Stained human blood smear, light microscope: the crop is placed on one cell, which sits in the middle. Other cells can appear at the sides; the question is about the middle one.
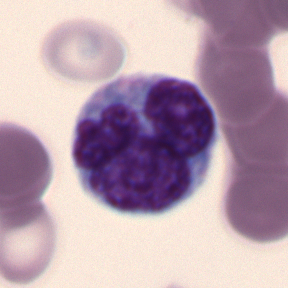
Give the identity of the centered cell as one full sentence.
What sits at the centre of this crop is a monocyte.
